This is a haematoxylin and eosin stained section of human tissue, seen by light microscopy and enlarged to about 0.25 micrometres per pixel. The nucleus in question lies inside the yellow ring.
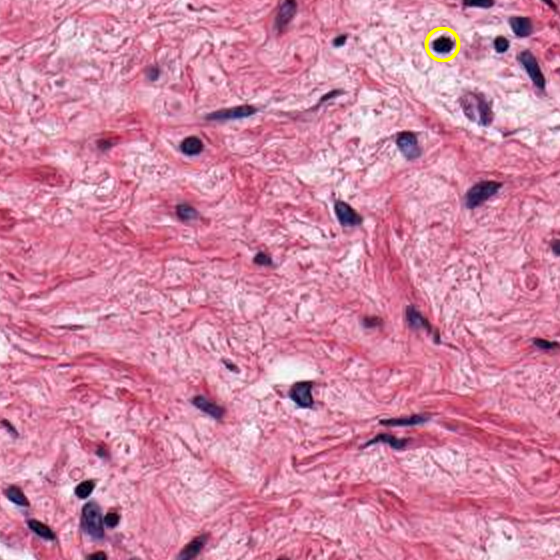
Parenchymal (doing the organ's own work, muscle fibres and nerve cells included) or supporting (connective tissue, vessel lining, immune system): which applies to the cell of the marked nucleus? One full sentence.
The cell bearing the marked nucleus is a supporting cell.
